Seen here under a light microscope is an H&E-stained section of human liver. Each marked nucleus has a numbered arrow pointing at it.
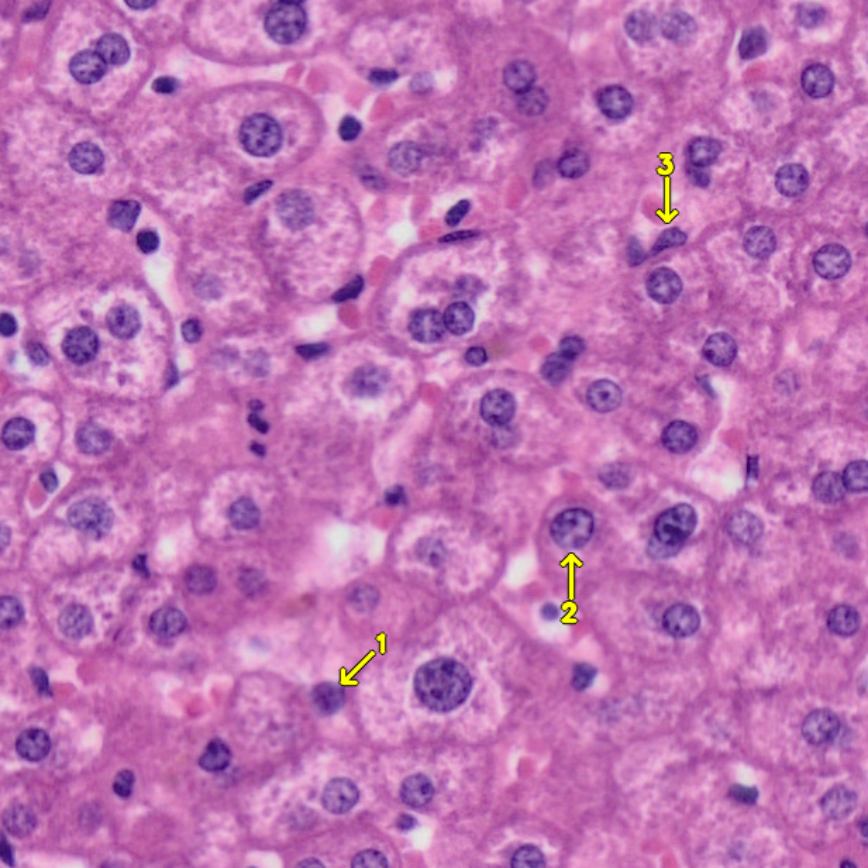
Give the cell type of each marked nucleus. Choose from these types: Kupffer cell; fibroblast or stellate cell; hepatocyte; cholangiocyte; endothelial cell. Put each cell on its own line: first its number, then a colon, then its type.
1: endothelial cell
2: hepatocyte
3: Kupffer cell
